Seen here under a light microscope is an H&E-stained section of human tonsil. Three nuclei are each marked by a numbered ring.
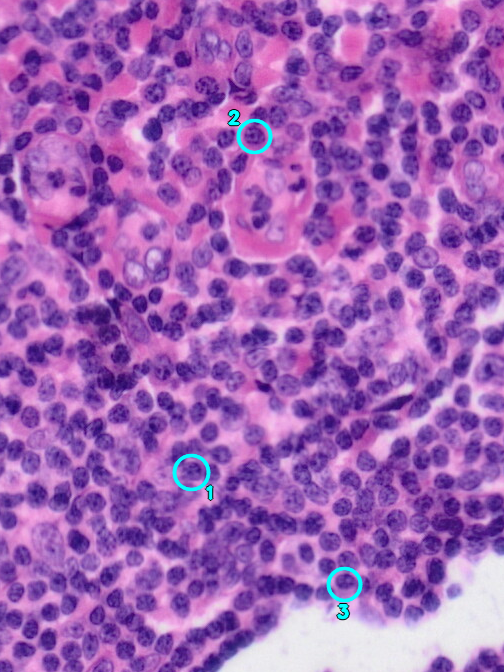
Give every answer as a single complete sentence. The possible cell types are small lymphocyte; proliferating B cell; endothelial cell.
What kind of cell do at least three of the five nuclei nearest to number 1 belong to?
The majority of the five nuclei closest to number 1 belong to proliferating B cells.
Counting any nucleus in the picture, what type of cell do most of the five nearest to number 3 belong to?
The majority of the five nuclei closest to number 3 belong to small lymphocytes.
